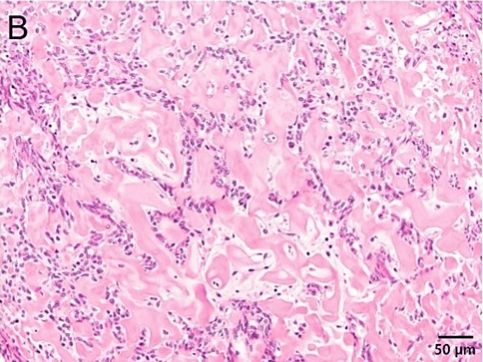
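This field shows epithelioid tumor cells arranged in thin cords and small clusters within a hyalinized stroma. The stroma forms broad bands and islands of homogeneous, glassy pink material with few cells in it. The tumor cells have rounded to oval purple nuclei and a modest amount of pale cytoplasm, and they run in narrow strands between the pink material.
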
